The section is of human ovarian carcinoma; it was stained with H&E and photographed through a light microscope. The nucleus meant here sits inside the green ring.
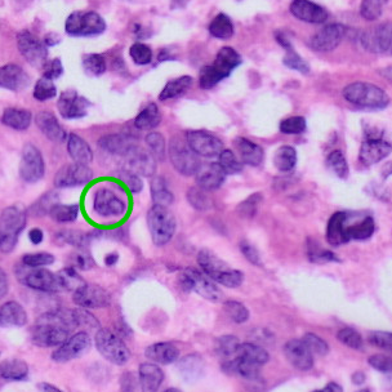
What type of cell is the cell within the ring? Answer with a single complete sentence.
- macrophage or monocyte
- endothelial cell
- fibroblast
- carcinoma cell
Labelled by cell type, the cell within the ring is a macrophage or monocyte.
